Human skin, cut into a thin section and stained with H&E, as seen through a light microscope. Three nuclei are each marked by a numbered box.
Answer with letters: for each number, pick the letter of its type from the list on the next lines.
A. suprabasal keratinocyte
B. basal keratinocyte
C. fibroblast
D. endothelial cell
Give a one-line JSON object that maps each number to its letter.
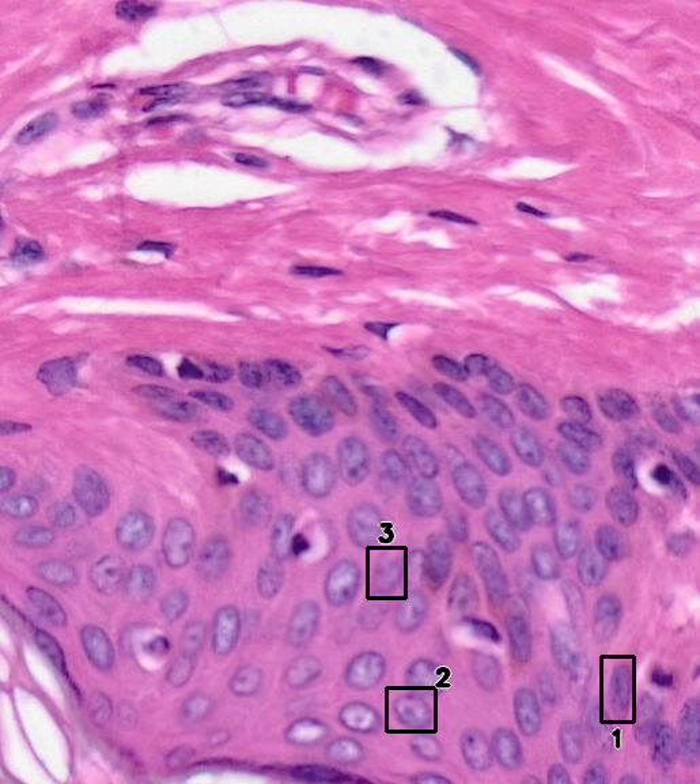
{"1": "B", "2": "A", "3": "A"}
